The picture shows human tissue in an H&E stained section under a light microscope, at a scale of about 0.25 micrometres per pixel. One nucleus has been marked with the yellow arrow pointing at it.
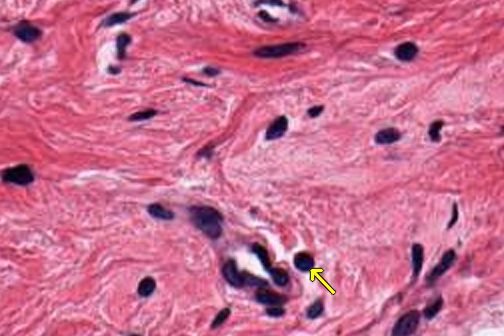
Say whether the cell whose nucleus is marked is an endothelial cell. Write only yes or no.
no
